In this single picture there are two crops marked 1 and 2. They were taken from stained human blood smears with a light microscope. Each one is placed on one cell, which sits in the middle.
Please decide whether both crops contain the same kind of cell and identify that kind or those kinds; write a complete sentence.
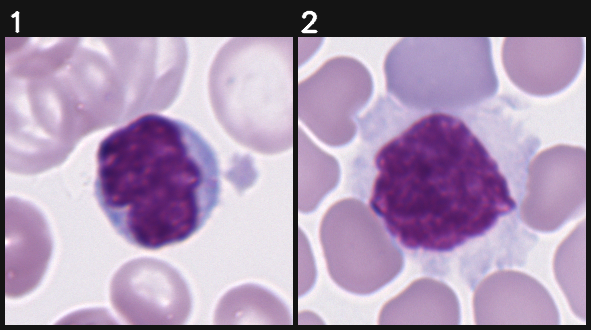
No, crop 1 is to be identified as a typical lymphocyte and crop 2 as a hairy cell.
